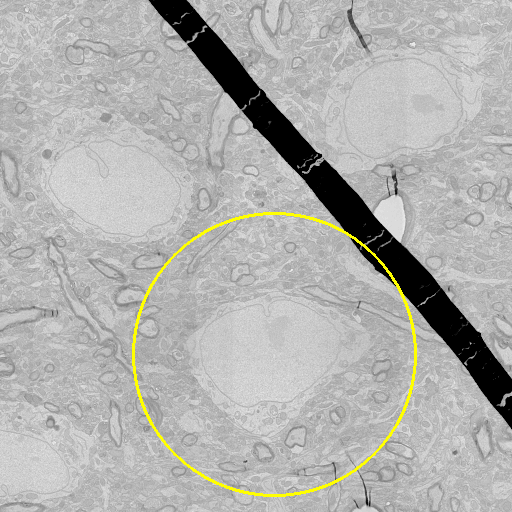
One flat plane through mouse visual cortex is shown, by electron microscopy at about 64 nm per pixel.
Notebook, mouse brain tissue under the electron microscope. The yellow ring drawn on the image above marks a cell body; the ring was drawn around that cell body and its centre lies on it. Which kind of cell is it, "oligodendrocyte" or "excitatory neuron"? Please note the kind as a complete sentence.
The marked cell body is that of an excitatory neuron.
